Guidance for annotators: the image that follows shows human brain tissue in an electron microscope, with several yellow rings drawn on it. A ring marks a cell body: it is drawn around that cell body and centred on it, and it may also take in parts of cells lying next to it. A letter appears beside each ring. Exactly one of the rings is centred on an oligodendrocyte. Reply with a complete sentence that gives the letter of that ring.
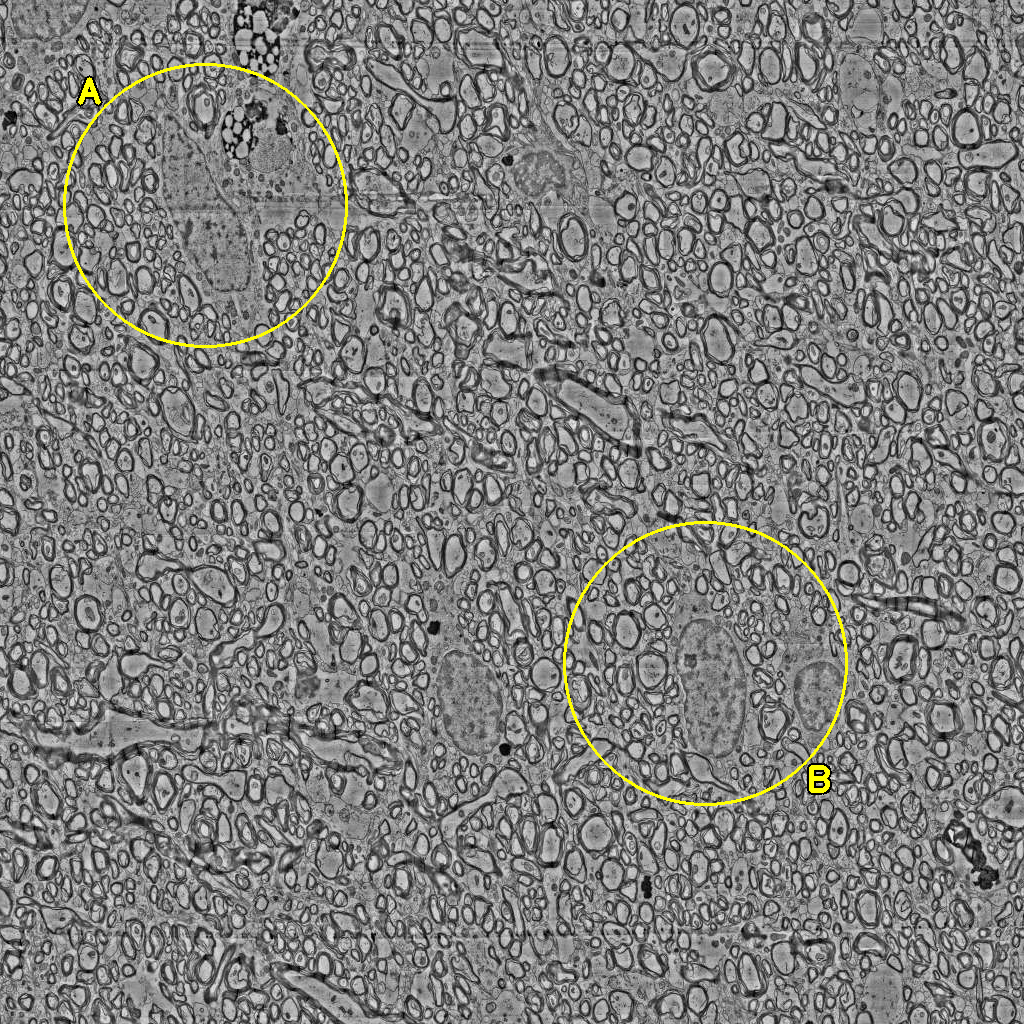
The ring lettered B is centred on that cell.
